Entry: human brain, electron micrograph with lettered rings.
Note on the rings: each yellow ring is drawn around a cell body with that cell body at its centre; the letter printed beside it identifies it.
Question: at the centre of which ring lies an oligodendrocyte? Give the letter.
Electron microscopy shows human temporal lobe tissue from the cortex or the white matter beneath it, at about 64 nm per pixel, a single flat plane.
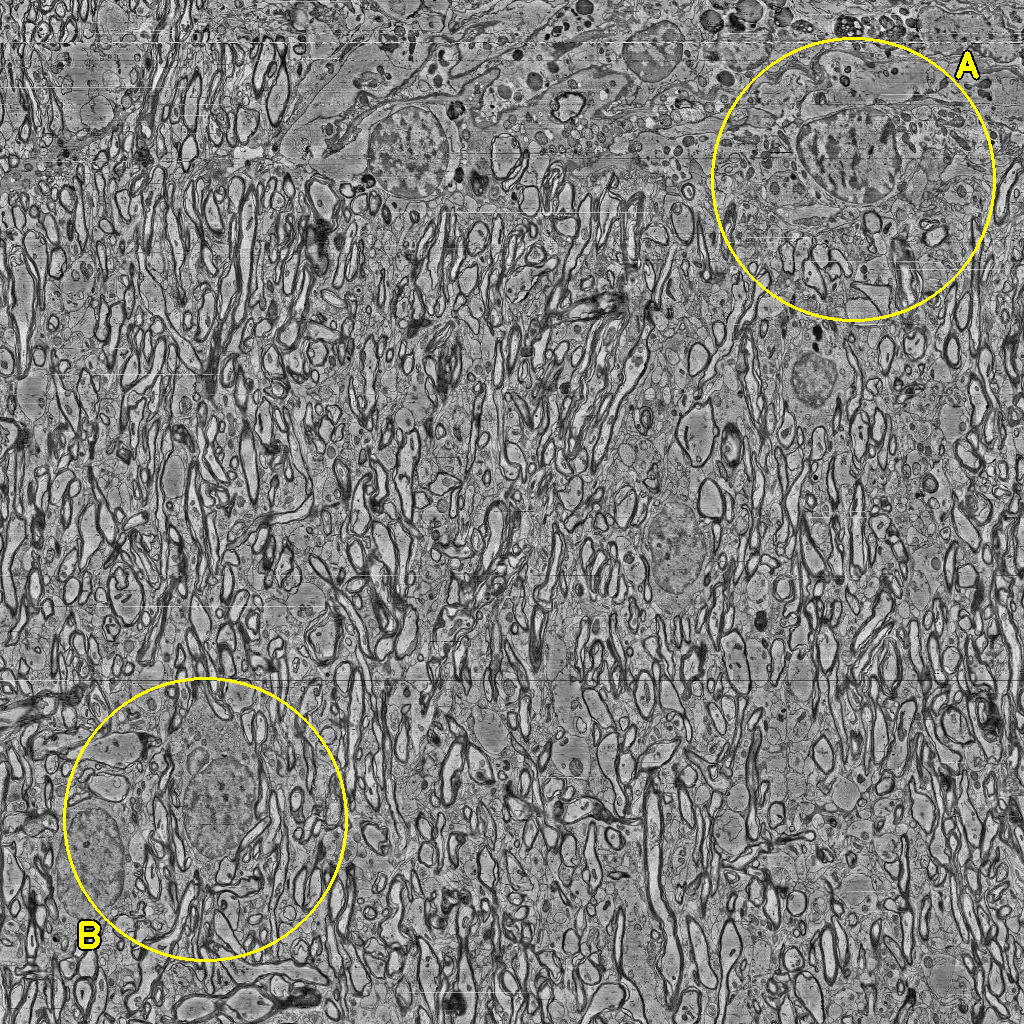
B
